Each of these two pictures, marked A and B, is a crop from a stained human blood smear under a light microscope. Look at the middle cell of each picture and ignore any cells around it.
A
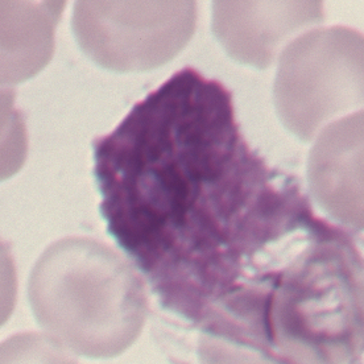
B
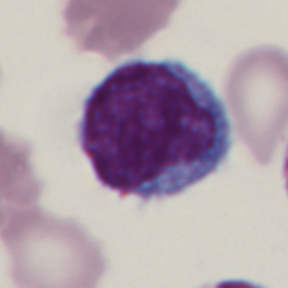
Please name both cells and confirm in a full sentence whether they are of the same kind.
No, a smudge cell is depicted by crop A, a typical lymphocyte by crop B.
